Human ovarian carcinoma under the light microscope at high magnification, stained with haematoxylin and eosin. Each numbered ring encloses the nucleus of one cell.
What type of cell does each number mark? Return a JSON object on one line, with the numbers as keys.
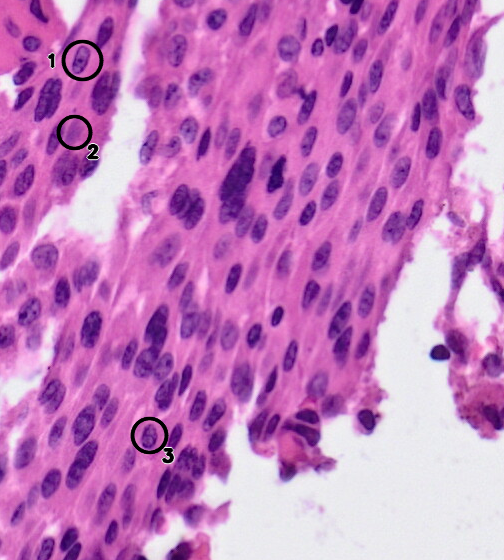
{"1": "macrophage or monocyte", "2": "carcinoma cell", "3": "macrophage or monocyte"}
